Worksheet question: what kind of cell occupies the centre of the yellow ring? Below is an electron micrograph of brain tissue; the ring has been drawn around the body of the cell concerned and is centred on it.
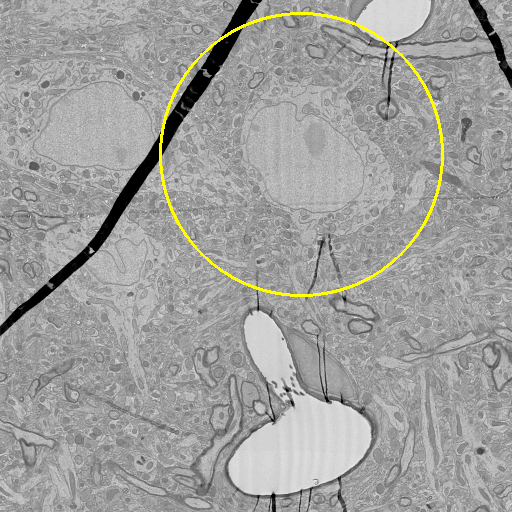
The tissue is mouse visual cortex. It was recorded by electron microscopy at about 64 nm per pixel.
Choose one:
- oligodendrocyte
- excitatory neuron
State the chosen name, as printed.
excitatory neuron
